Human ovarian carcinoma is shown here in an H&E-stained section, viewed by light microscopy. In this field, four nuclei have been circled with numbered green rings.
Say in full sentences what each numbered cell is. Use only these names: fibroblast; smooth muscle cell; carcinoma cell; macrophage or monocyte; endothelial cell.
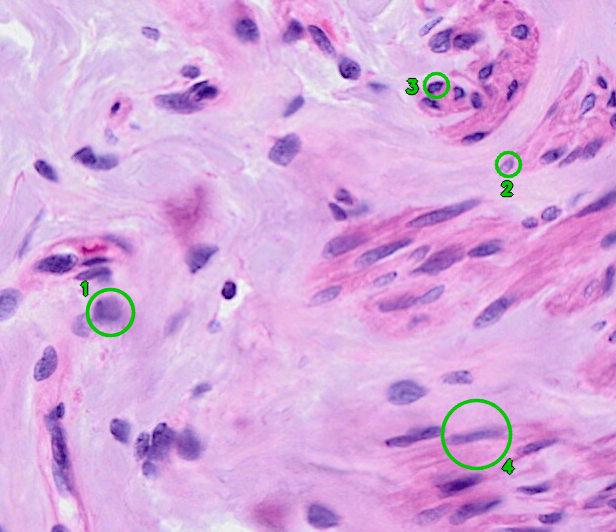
Cell 1 is a fibroblast. Cells 2, 3 and 4 are smooth muscle cells.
